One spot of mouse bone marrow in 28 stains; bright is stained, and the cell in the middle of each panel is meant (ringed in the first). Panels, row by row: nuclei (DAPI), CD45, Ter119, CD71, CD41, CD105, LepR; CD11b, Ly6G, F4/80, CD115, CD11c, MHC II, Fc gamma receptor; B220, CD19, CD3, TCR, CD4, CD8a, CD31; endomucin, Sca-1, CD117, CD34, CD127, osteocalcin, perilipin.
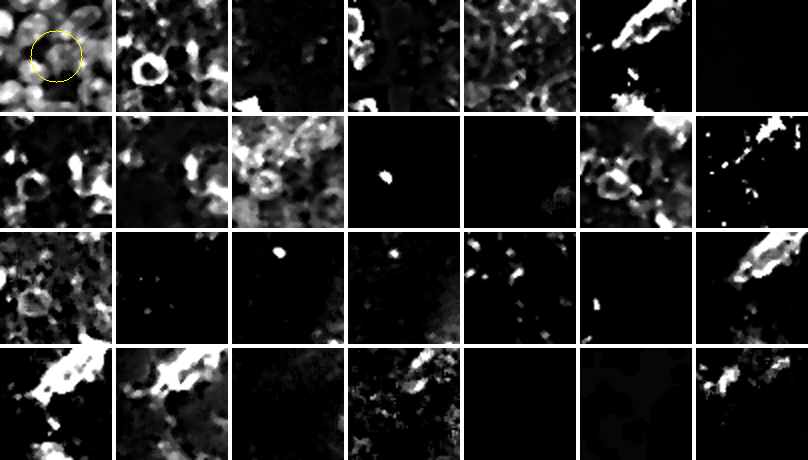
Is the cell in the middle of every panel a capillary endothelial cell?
Yes, it is a capillary endothelial cell.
